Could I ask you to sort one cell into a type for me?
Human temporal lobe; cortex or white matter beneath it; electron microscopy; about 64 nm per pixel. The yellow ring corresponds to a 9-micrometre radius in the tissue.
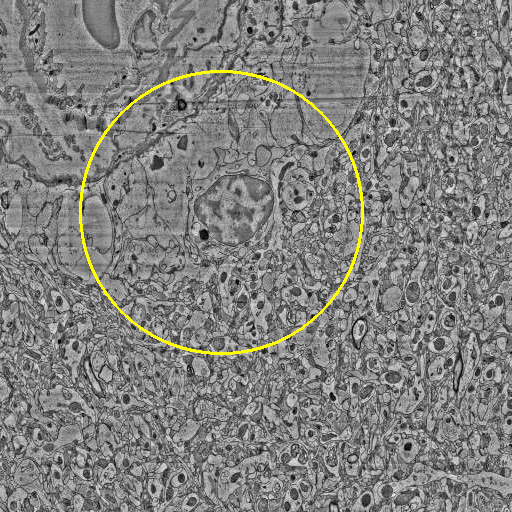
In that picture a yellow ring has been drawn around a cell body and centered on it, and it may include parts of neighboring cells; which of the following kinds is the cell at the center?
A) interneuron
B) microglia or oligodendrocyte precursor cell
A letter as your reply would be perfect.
B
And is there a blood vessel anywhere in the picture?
Yes, a blood vessel is present in this picture.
